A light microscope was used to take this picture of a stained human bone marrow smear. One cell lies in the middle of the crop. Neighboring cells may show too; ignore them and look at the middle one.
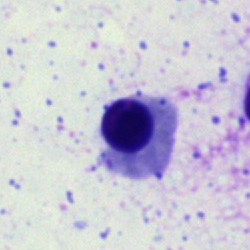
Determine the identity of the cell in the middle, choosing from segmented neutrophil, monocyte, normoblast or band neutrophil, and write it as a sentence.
Of the cells in this crop, the central one is a normoblast.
